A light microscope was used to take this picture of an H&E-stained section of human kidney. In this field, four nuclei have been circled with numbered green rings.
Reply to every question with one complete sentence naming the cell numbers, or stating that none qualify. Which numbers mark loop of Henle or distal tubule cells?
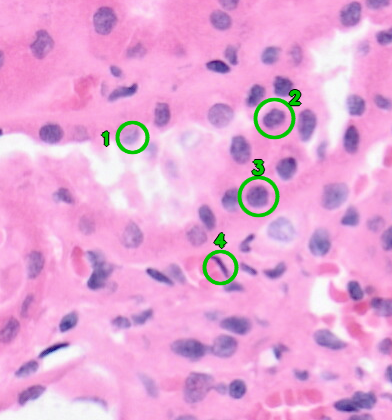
Cells 1, 2 and 3 share one type; they are loop of Henle or distal tubule cells.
